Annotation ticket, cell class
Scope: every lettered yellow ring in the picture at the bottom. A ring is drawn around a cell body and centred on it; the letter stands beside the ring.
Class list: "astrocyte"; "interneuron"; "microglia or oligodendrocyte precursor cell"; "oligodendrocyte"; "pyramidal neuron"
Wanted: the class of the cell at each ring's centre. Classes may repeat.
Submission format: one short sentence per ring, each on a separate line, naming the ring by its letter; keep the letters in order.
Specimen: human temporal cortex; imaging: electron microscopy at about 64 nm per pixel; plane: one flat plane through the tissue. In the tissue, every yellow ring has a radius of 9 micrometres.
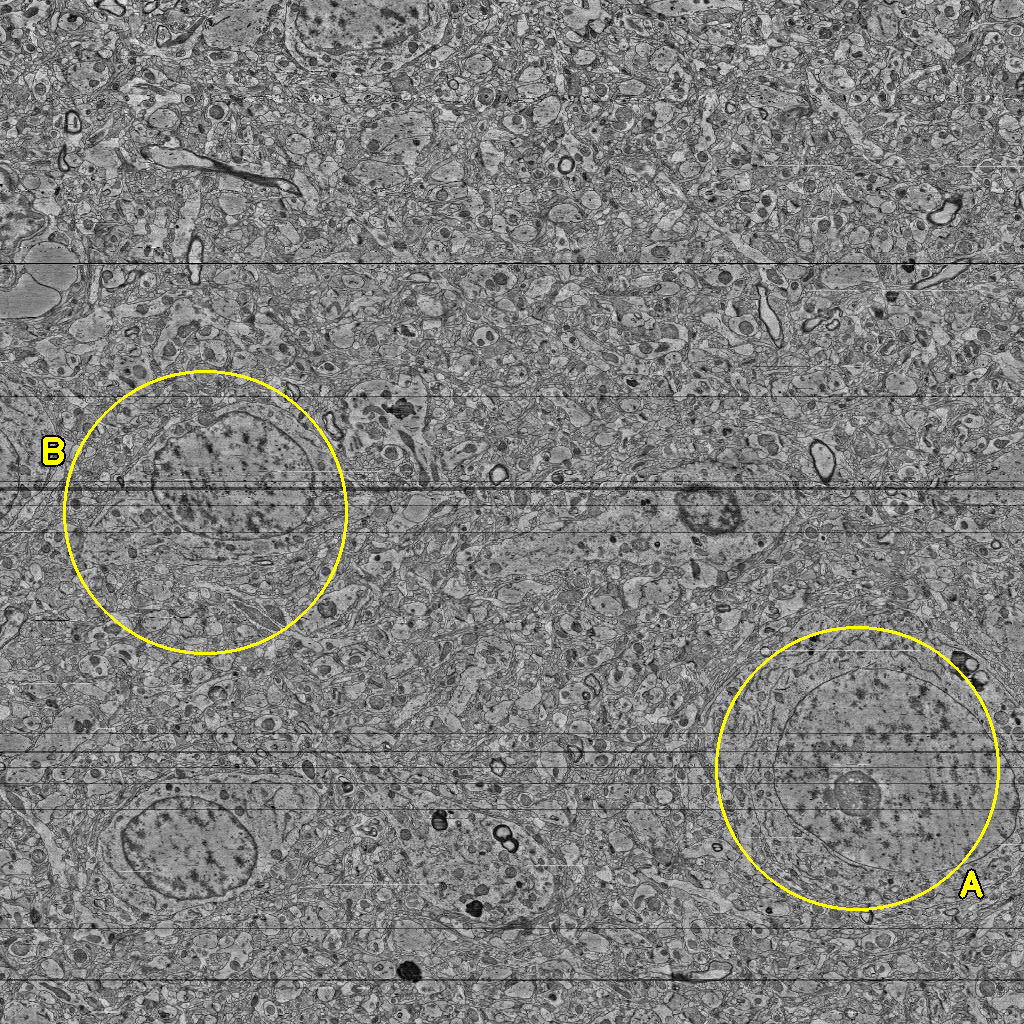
The centre of ring A is occupied by a pyramidal neuron.
The centre of ring B is occupied by a pyramidal neuron.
